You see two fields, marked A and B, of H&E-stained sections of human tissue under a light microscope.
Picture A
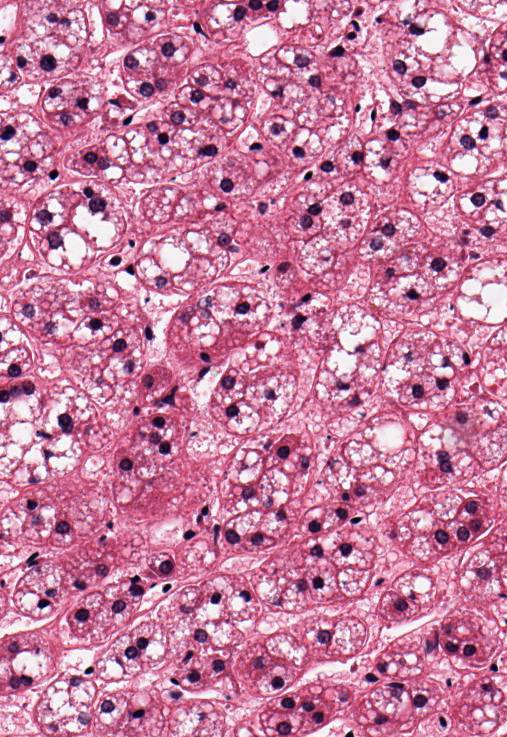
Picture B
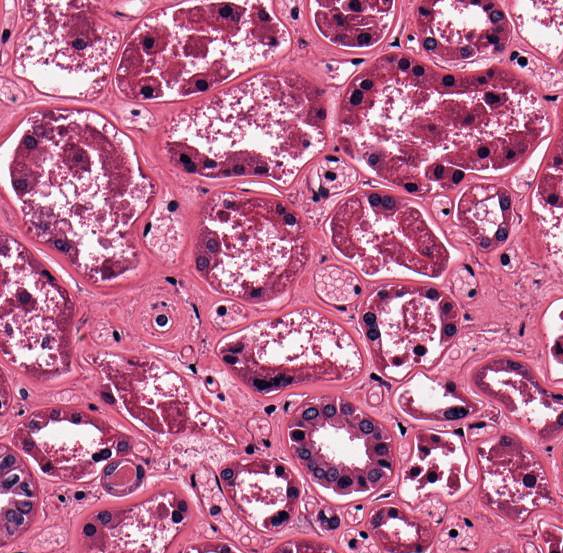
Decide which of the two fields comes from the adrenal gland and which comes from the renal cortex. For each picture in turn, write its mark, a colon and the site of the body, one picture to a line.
A: adrenal gland
B: renal cortex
